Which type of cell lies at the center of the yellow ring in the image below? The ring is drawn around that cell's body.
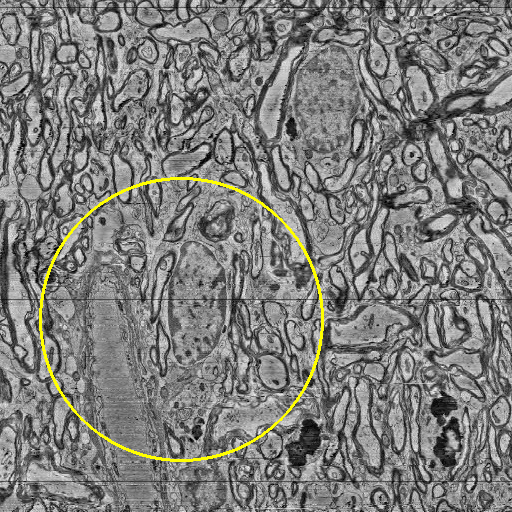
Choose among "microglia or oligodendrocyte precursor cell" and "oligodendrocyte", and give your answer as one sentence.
The cell body at the center belongs to a microglial cell or oligodendrocyte precursor cell.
